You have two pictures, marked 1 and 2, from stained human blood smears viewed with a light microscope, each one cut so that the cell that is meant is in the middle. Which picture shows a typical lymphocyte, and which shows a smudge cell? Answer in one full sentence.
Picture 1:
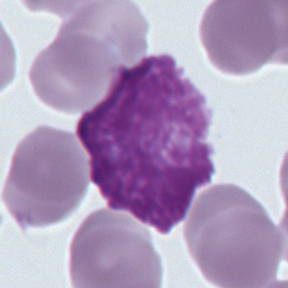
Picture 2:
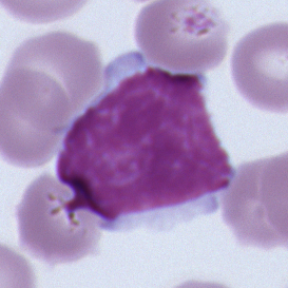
It is picture 1 that shows a smudge cell, and picture 2 that shows a typical lymphocyte.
